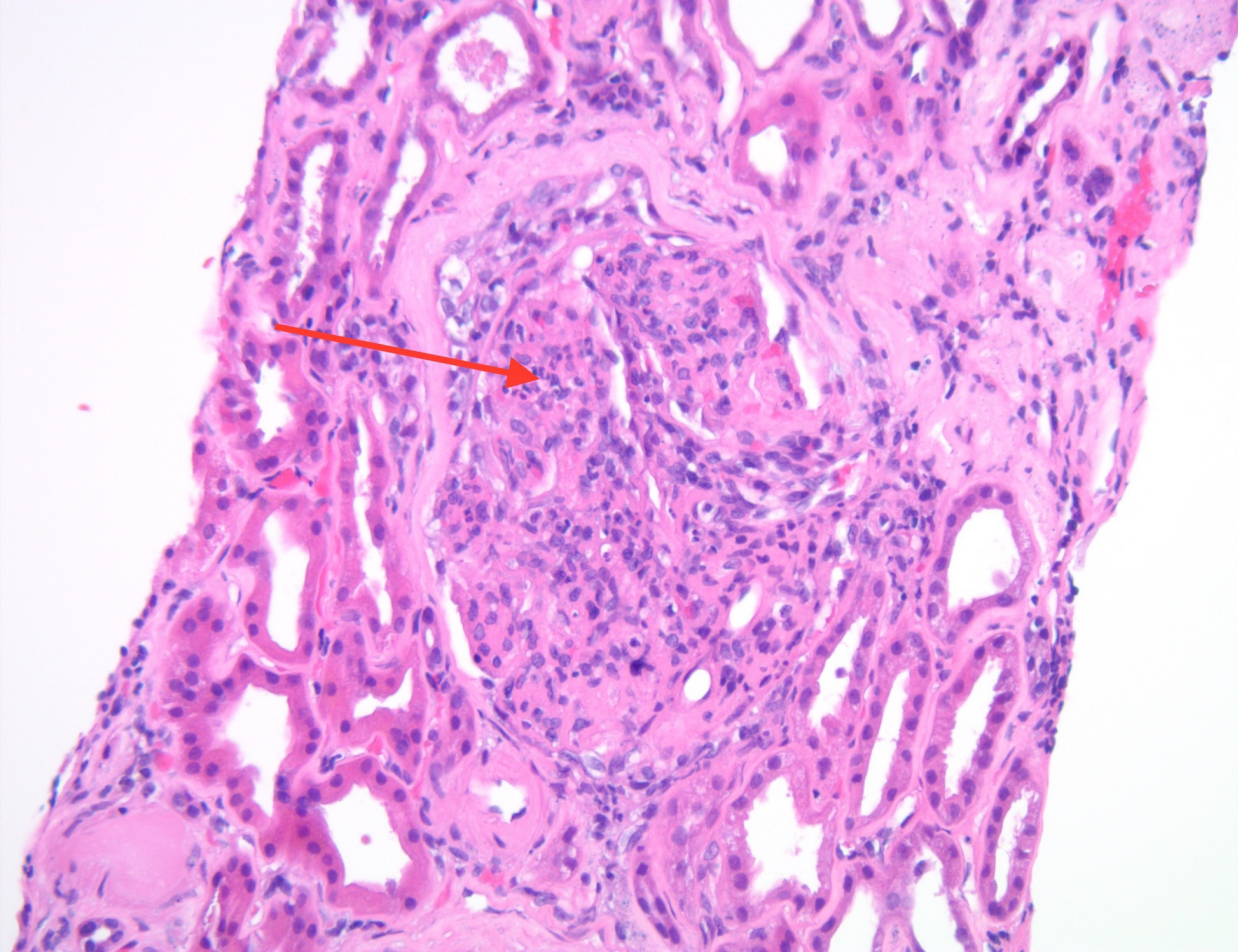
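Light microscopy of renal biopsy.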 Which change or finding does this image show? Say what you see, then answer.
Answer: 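The central glomerulus is markedly hypercellular. Capillary lumens within the tuft are largely obliterated by cells. The glomerulus is surrounded by renal tubules lined by cuboidal epithelium.
Hence: endocapillary proliferative and exudative glomerulonephritis.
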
